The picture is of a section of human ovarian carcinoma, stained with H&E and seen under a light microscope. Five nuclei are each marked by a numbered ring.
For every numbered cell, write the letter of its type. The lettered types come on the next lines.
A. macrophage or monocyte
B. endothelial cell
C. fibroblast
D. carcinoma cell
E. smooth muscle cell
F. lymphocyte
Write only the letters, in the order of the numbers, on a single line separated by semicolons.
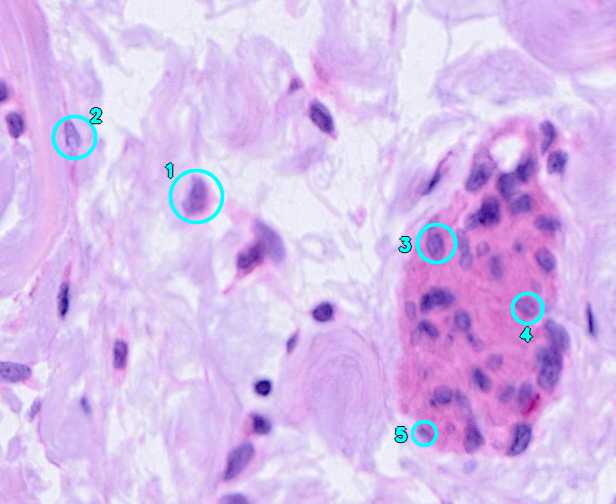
C; C; E; E; E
